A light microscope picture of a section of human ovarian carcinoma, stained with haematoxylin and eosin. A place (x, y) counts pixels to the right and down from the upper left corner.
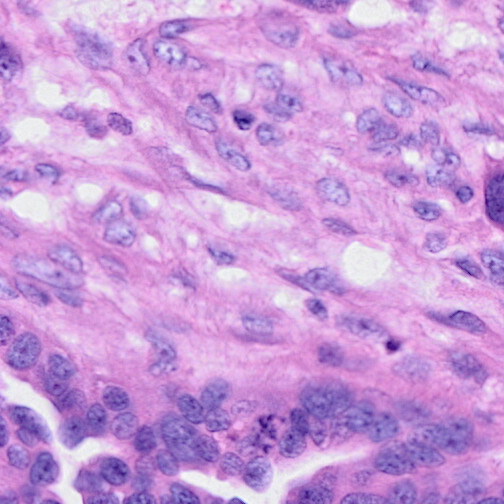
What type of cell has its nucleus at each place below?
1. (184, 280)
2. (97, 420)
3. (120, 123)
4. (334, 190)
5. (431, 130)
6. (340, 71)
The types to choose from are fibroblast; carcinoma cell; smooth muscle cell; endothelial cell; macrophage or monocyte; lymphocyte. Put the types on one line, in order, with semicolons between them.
fibroblast; carcinoma cell; macrophage or monocyte; fibroblast; fibroblast; fibroblast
